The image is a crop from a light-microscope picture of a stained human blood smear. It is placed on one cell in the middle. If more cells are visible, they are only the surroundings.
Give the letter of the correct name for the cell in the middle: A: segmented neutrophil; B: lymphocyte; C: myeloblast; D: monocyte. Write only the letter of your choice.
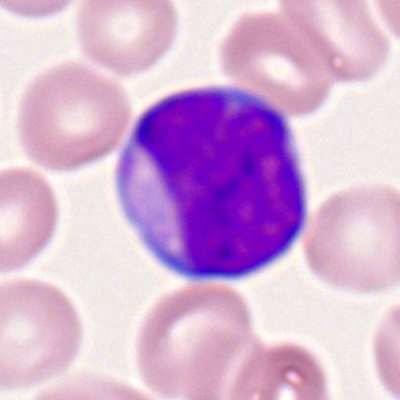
C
